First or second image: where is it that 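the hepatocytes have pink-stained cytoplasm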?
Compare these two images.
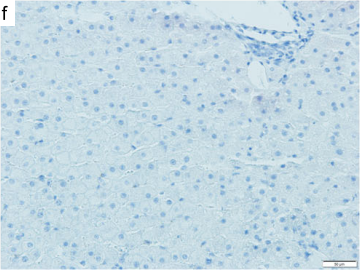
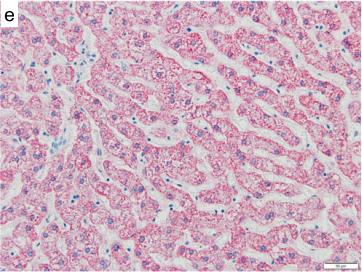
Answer: The second image.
